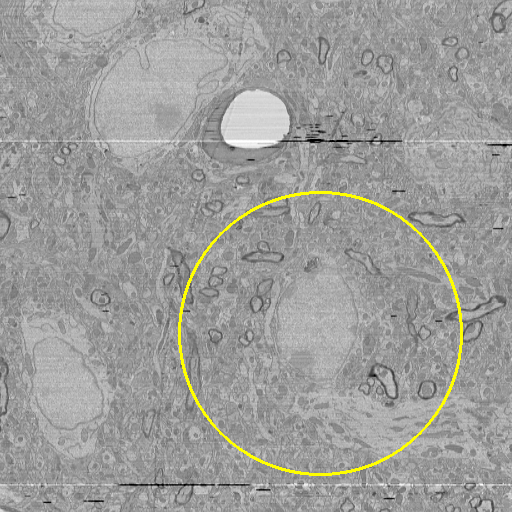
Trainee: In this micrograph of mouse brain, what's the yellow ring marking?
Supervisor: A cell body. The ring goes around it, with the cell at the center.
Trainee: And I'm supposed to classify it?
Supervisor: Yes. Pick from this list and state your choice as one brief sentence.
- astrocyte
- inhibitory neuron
The cell at the ring's center is an astrocyte.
